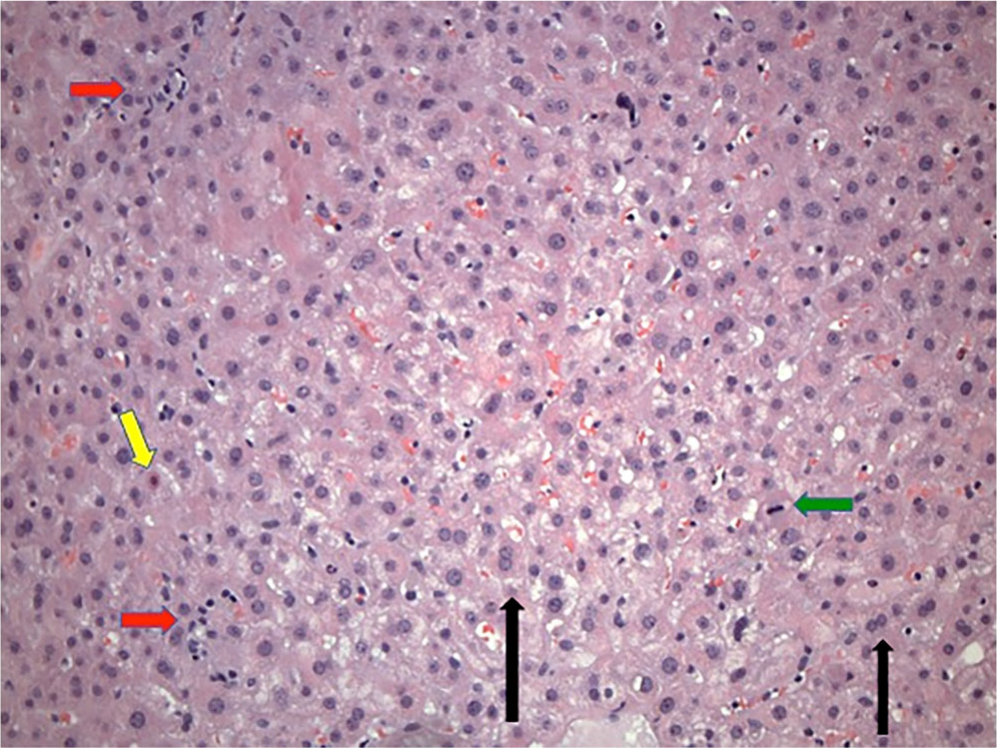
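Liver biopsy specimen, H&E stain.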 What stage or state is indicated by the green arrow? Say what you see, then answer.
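The green arrow points to a dense, dark, rod-shaped chromatin mass with no round nucleus around it. The answer: mitotic figures.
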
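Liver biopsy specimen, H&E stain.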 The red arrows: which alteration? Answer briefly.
lobular inflammation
